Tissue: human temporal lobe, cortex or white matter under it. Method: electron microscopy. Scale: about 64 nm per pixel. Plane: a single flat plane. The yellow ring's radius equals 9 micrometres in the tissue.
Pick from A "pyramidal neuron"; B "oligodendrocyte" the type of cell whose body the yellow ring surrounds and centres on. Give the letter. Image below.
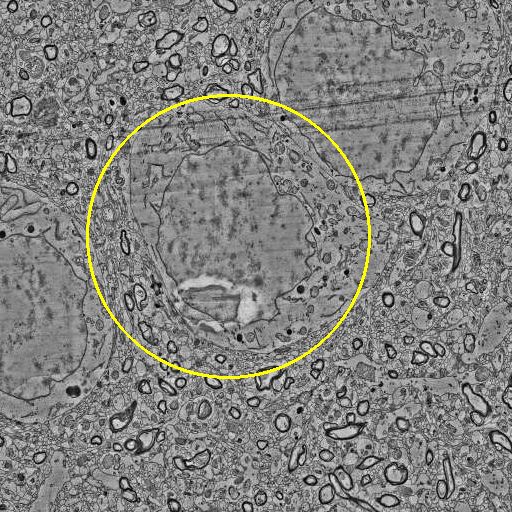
A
